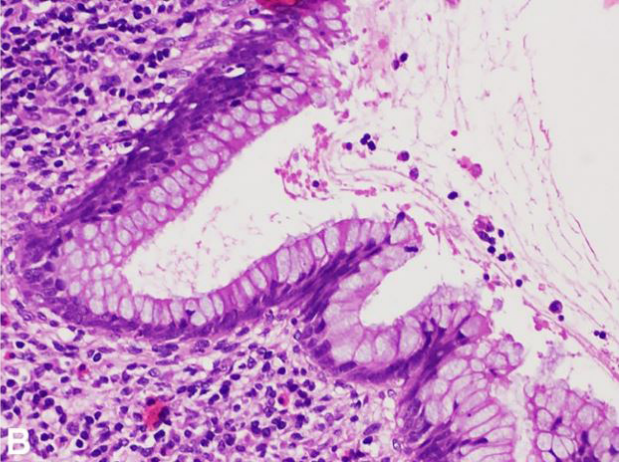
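This shows a mucinous epithelium lining a space, resting on cellular stroma. The epithelium forms a single row of tall columnar cells that folds in a gently undulating way. Each cell is largely filled by pale, clear to faintly bluish cytoplasmic vacuoles, so the layer looks bubbly and light. The nuclei are small, dark purple and compressed toward the base of the cells, without obvious enlargement. Beneath the epithelium lies a stroma crowded with small round dark nuclei. In the space above the epithelium lie wispy pale strands with a few scattered detached cells.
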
